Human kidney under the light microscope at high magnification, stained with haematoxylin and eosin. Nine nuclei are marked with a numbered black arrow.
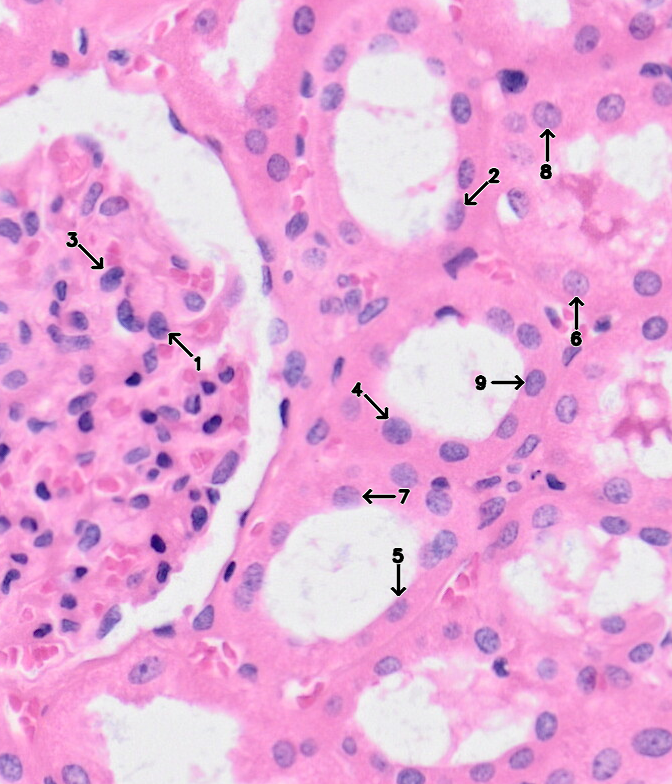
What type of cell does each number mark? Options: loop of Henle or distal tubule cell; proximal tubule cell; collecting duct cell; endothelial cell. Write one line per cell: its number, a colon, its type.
1: endothelial cell
2: loop of Henle or distal tubule cell
3: endothelial cell
4: loop of Henle or distal tubule cell
5: loop of Henle or distal tubule cell
6: proximal tubule cell
7: loop of Henle or distal tubule cell
8: proximal tubule cell
9: loop of Henle or distal tubule cell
